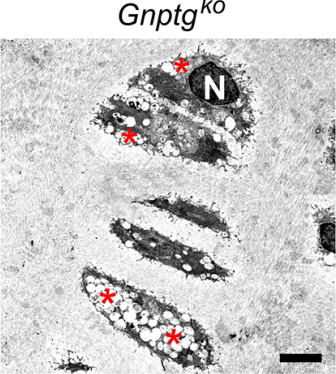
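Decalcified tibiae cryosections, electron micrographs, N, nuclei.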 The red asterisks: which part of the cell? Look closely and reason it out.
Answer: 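The cytoplasm next to the asterisks is packed with many round pale vacuoles. Such vacuoles fill much of the lower cell.
Conclusion: Storage material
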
